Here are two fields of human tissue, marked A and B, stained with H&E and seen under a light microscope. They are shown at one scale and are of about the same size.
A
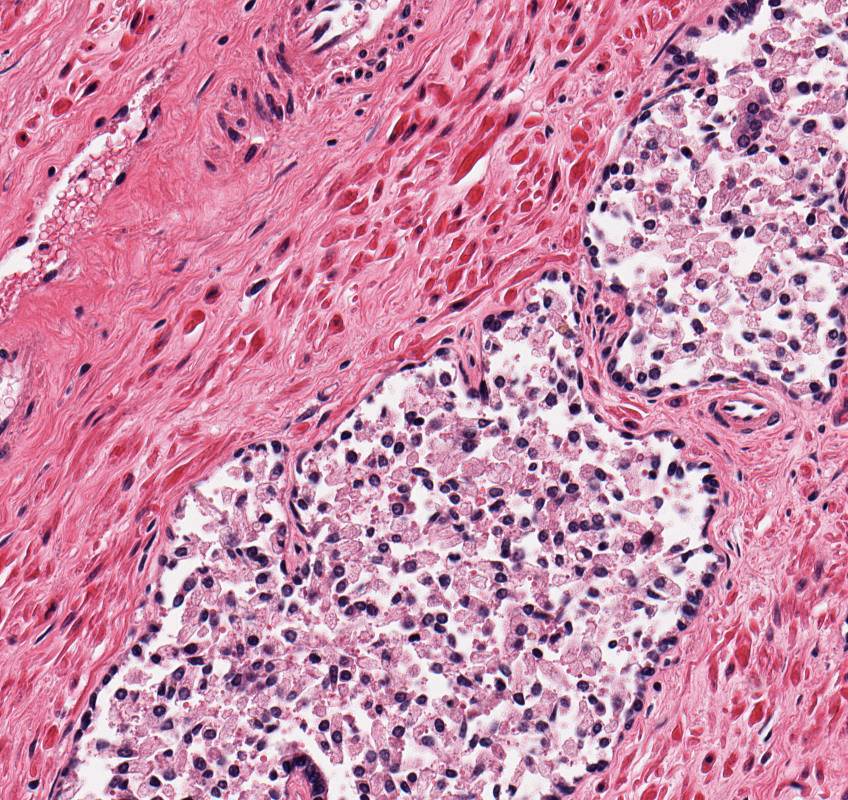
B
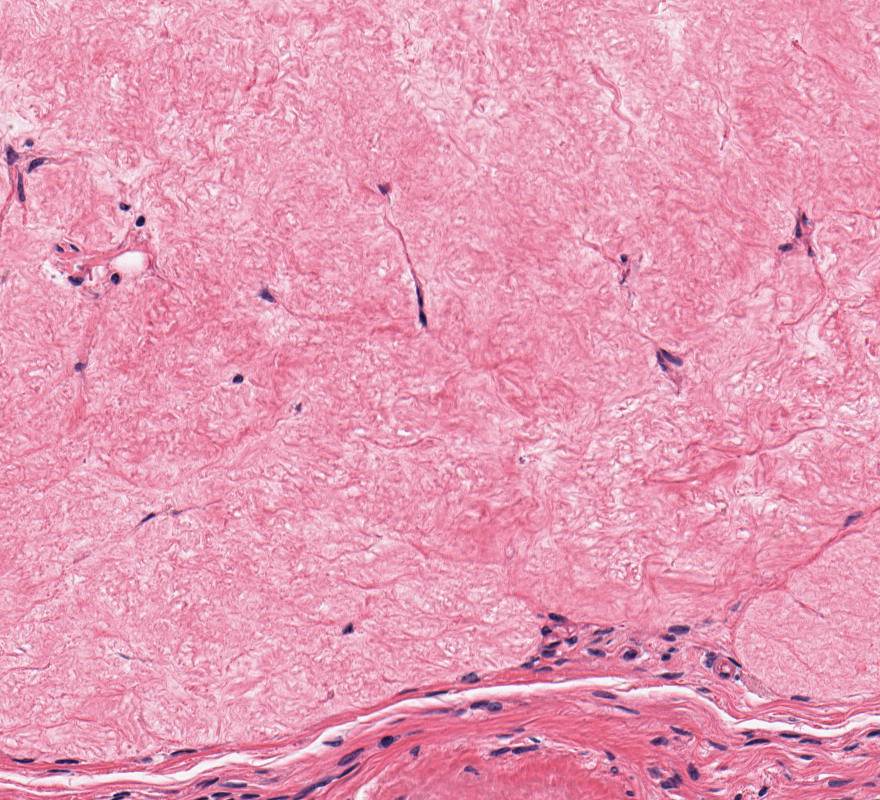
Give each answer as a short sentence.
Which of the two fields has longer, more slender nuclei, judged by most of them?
The nuclei are more elongated in field B.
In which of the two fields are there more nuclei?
It is field A that has more nuclei in it.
